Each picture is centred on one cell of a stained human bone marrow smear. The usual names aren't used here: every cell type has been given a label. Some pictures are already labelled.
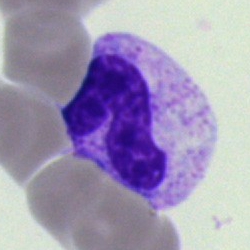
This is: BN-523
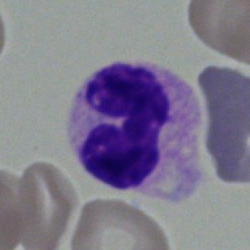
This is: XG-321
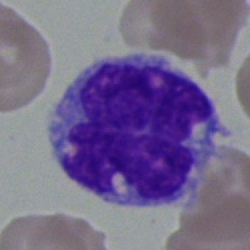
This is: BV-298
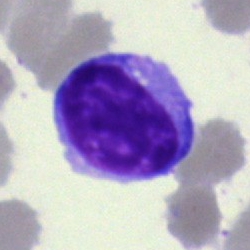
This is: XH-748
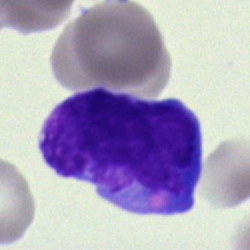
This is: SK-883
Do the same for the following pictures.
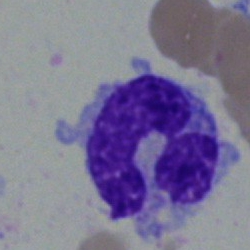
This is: BV-298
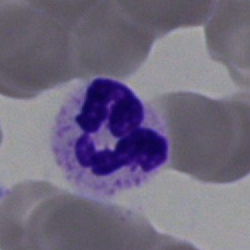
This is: XG-321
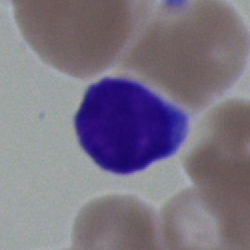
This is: XH-748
